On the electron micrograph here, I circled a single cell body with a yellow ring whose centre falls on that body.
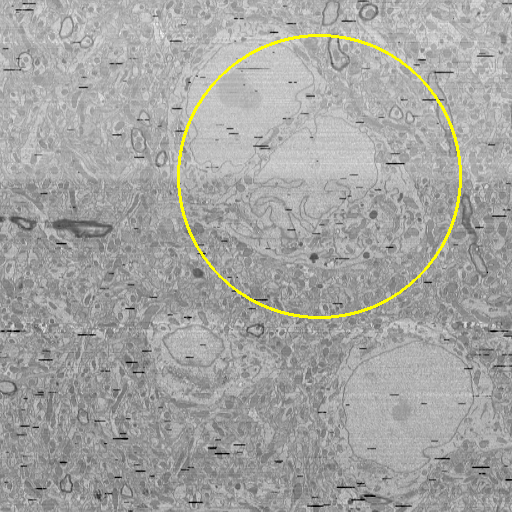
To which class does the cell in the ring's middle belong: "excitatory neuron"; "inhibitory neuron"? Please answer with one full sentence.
In this picture, the cell body circled at the ring's centre belongs to an inhibitory neuron.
